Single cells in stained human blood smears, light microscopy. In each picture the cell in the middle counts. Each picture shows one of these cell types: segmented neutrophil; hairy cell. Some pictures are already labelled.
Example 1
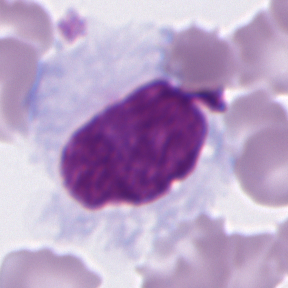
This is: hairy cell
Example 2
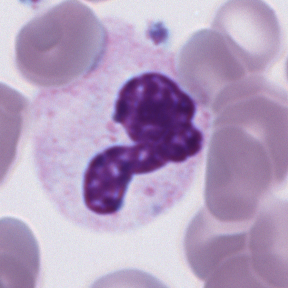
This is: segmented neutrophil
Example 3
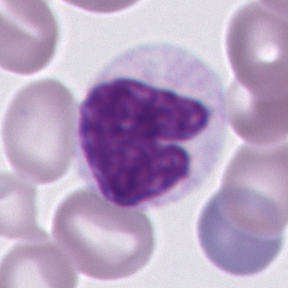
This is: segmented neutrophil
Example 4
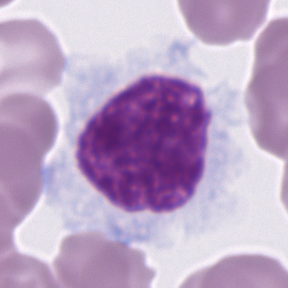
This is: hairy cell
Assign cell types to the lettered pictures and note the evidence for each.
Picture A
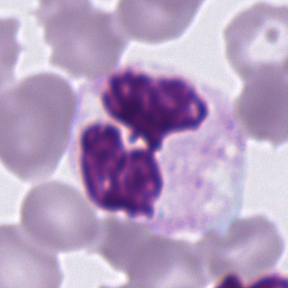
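segmented neutrophil. The cytoplasm is plentiful and very pale lilac.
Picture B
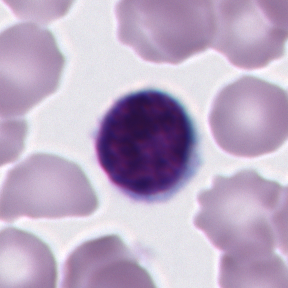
hairy cell. The cytoplasm forms only a thin rim, seen best along the lower right edge.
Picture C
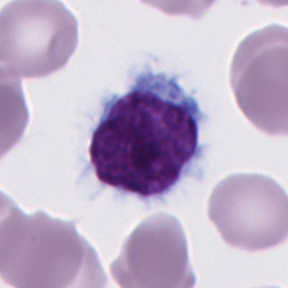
hairy cell. Only a scant rim of pale blue cytoplasm surrounds the nucleus.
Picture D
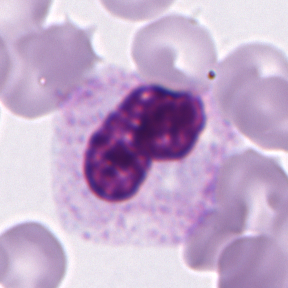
segmented neutrophil. The nucleus has two lobes joined by a broad band rather than a thin thread.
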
